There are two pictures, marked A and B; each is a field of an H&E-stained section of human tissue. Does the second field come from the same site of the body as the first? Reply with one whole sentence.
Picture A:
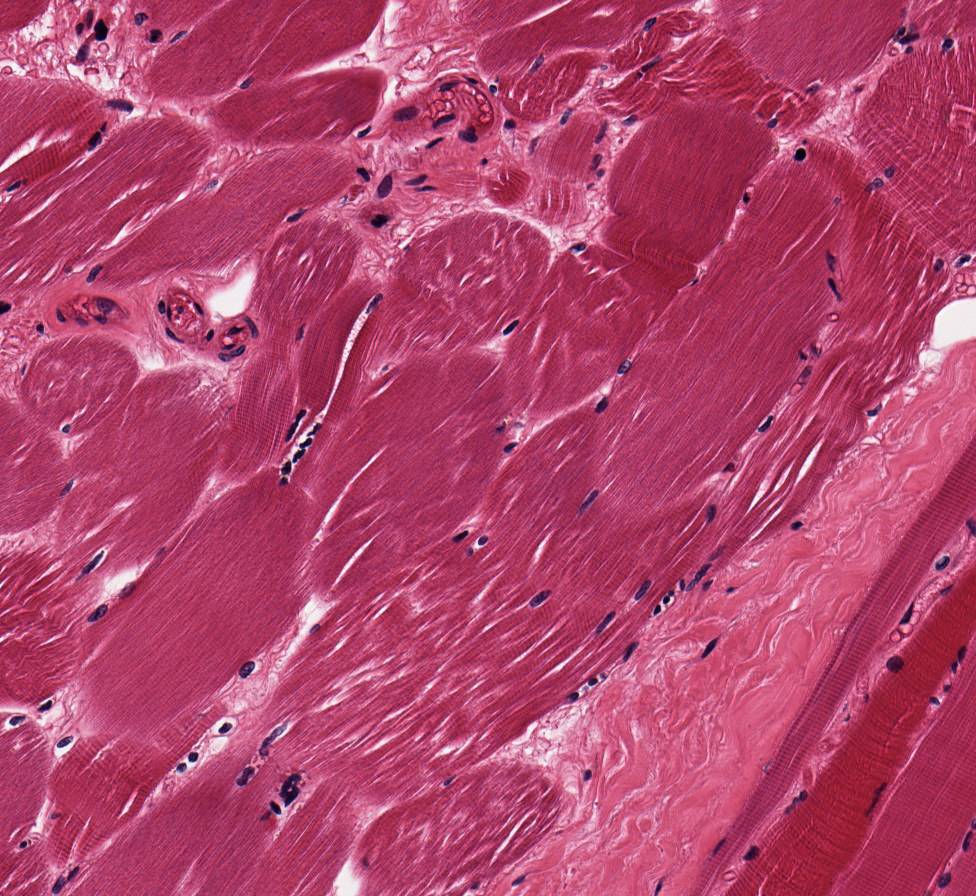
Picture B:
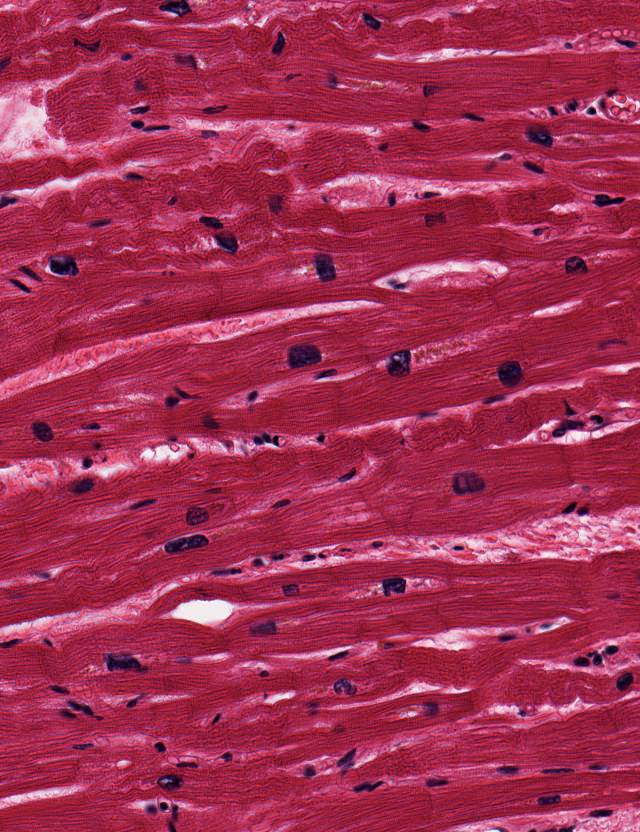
No, picture A comes from skeletal muscle and picture B comes from the left ventricle of the heart.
